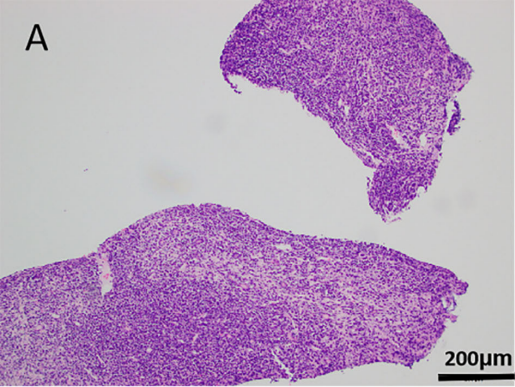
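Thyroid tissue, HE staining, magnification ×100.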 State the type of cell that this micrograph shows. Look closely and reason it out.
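Lymphocytes. The fragments are filled with densely packed small round cells.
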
